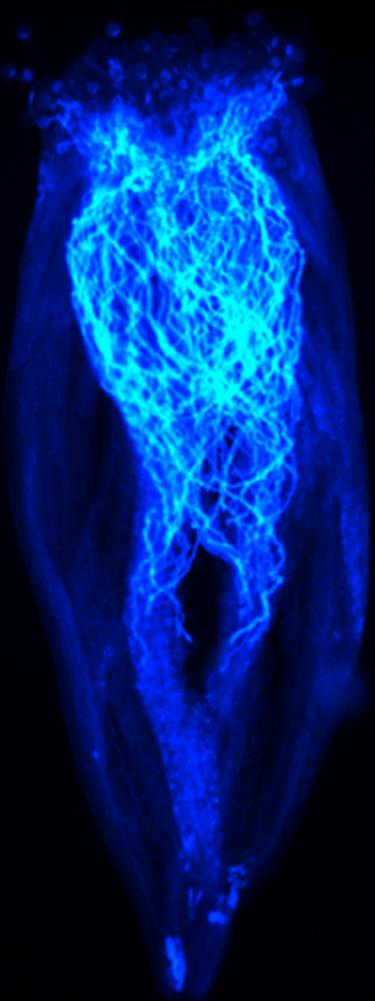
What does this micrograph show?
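This is a whole style under fluorescence, with pollen tubes appearing as bright blue-white threads inside the dimmer blue tissue. Pollen grains lie as small round bodies along the top edge. Beneath them the tubes form a dense, tangled mass in the upper half of the style. Further down the mass thins into fewer, looser threads that end around the middle. The lower, tapering part of the style shows mostly diffuse, speckled blue without a continuous bundle of tubes.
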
